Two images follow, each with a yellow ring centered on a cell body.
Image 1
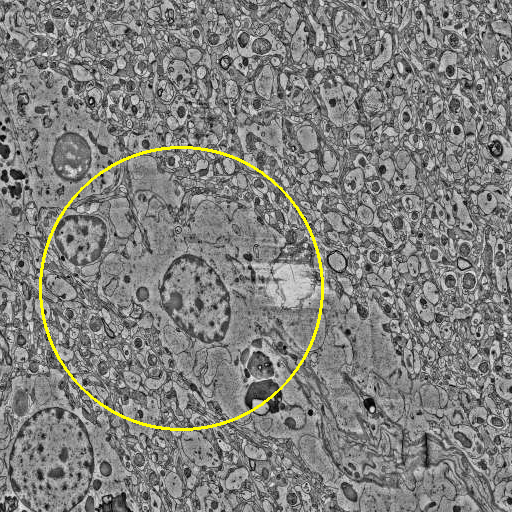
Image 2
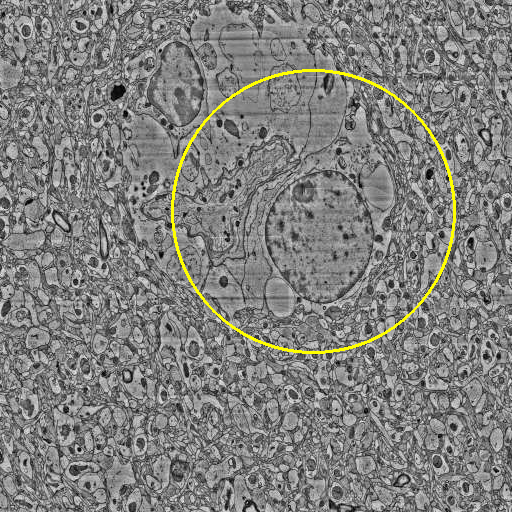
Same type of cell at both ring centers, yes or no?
yes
